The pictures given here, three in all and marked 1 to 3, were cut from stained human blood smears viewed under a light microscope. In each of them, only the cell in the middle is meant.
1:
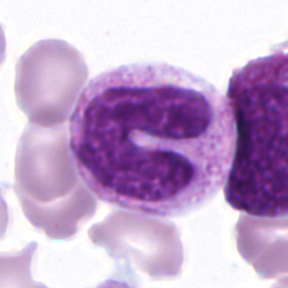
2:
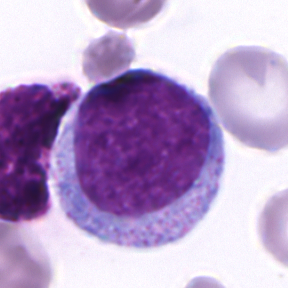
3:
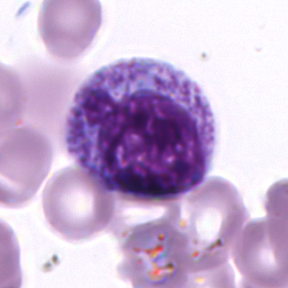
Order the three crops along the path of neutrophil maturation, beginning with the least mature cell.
2, 3, 1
